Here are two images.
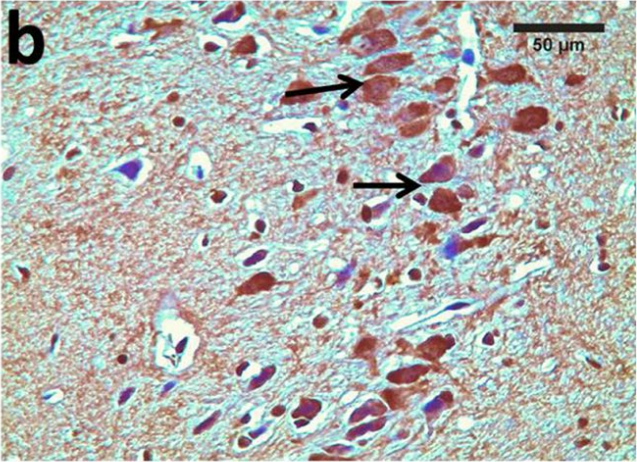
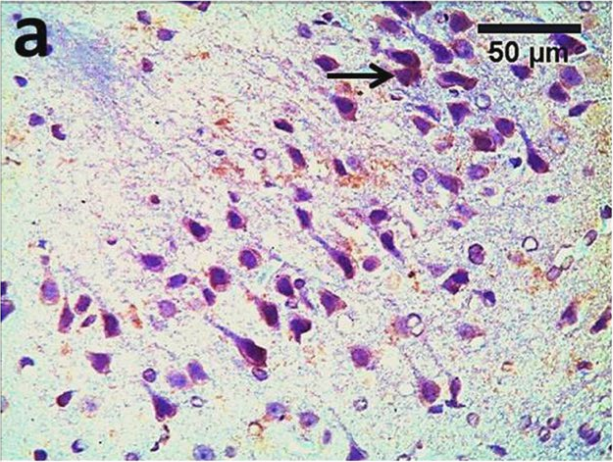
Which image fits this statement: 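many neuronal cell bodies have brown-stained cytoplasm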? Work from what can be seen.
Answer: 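First image: many large cell bodies are filled with brown stain on a brownish background. Second image: the neuronal cell bodies are mostly purple, with only faint brown in places.
Answer: the first image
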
